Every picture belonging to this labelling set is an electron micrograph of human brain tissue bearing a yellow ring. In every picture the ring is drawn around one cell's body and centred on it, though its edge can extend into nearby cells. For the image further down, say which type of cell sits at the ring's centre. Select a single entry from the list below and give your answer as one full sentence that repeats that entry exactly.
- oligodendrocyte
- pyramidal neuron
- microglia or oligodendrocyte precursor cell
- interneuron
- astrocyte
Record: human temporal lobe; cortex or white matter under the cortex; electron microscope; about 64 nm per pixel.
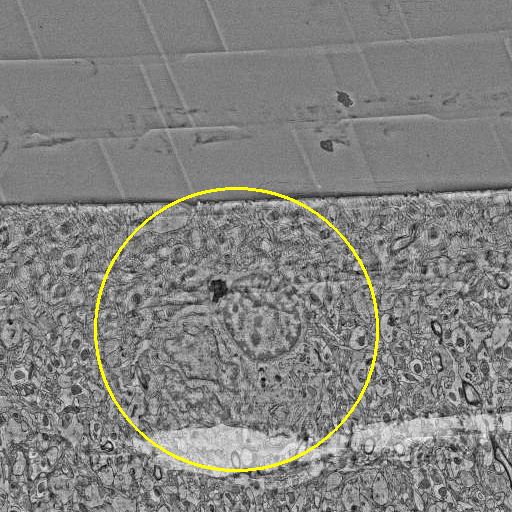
In the picture, an oligodendrocyte is the cell at the centre of the yellow ring.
